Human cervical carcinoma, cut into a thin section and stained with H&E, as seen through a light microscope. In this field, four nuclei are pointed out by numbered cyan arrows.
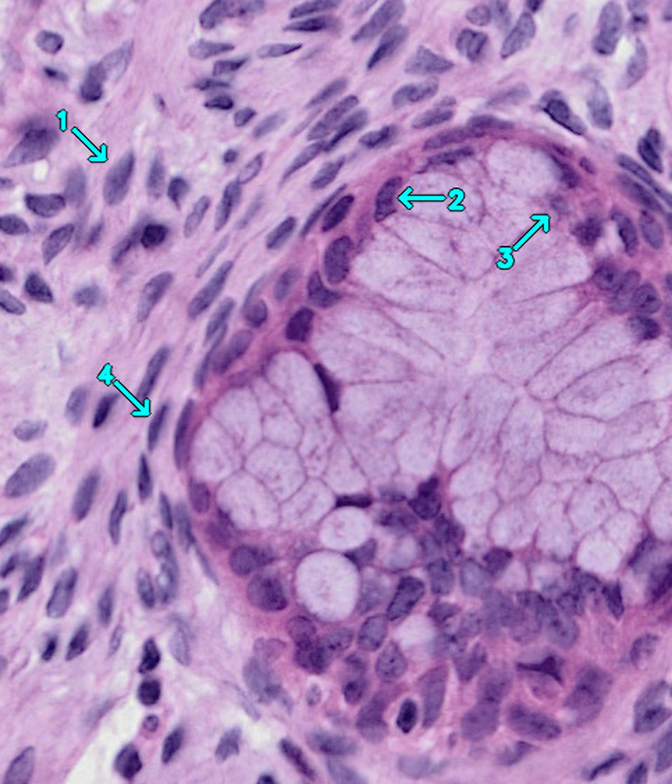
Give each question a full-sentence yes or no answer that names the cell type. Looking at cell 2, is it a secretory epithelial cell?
Yes, the cell with its nucleus marked 2 is a secretory epithelial cell.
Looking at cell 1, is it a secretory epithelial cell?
No, at number 1 sits a fibroblast, not a secretory epithelial cell.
